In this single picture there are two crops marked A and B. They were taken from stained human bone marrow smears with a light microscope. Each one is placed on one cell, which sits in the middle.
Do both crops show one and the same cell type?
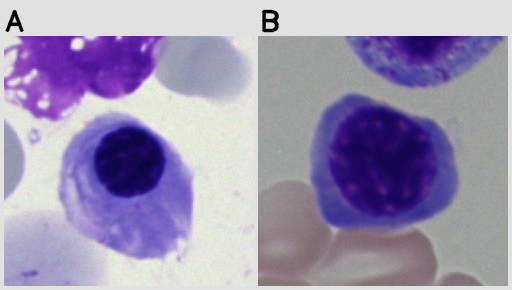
yes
